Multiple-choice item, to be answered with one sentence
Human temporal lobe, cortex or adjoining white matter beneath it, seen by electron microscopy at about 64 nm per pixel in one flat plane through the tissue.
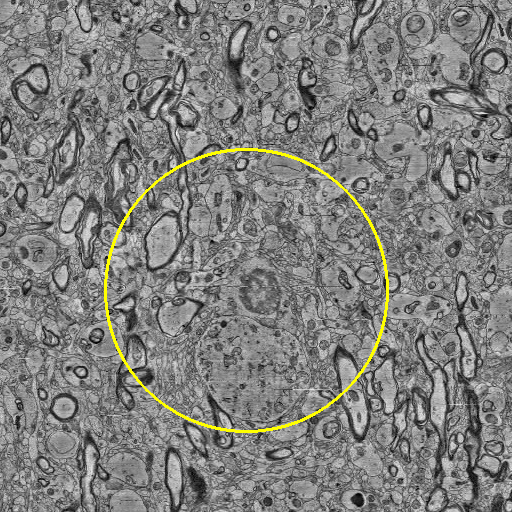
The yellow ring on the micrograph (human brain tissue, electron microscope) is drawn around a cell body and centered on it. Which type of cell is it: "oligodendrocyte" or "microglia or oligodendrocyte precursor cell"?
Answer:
The ring is centered on an oligodendrocyte.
